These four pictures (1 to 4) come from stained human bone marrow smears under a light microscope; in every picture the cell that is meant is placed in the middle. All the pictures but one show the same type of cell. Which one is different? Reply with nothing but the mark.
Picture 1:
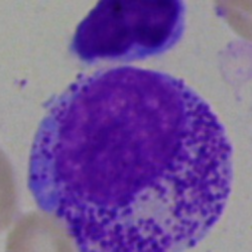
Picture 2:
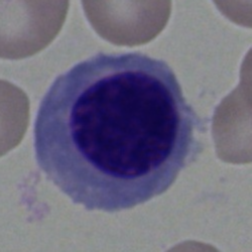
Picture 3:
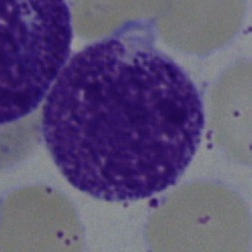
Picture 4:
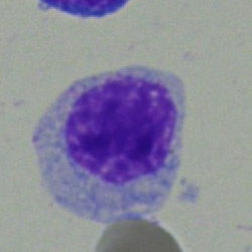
2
